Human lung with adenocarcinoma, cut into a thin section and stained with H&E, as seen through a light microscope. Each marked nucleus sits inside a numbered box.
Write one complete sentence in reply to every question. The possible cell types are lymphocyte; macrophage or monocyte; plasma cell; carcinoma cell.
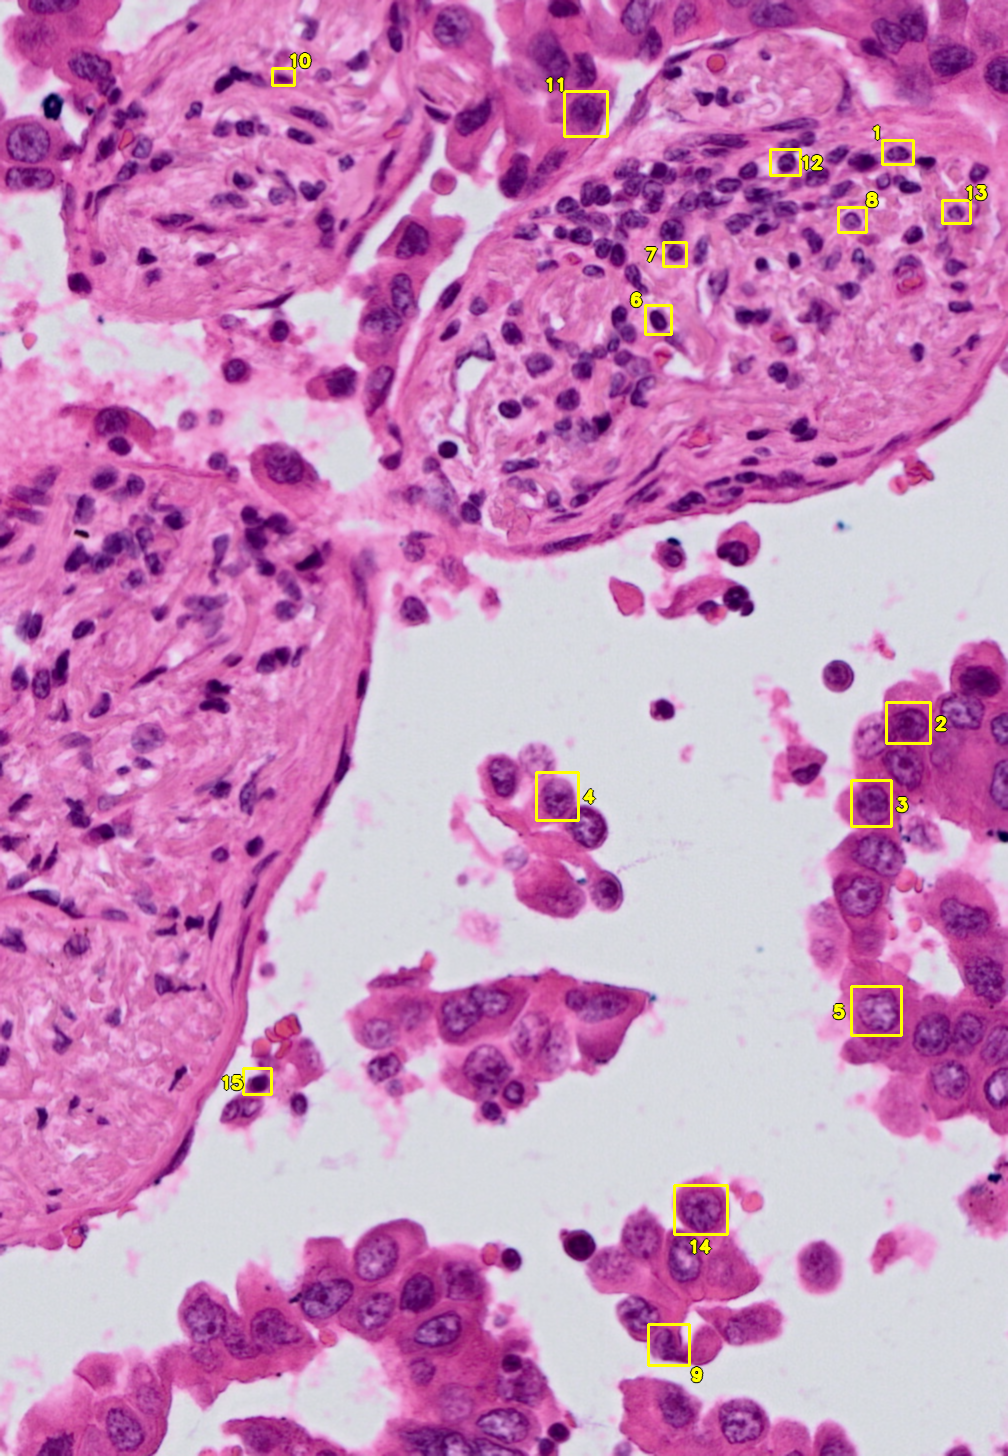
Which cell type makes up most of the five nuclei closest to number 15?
Macrophages or monocytes make up most of the five nuclei closest to number 15.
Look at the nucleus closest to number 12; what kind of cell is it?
Closest to number 12 lies the nucleus of a lymphocyte.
